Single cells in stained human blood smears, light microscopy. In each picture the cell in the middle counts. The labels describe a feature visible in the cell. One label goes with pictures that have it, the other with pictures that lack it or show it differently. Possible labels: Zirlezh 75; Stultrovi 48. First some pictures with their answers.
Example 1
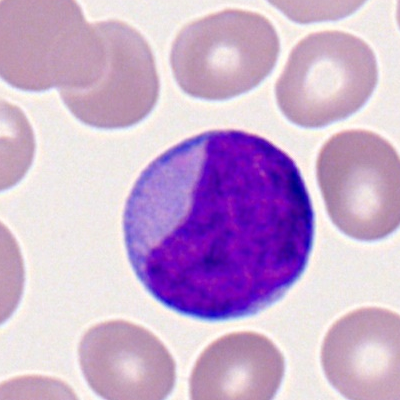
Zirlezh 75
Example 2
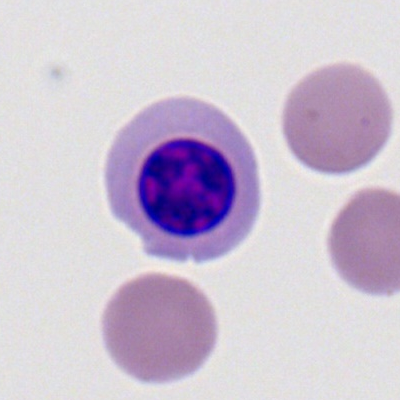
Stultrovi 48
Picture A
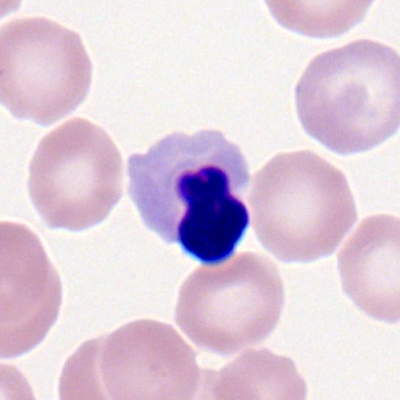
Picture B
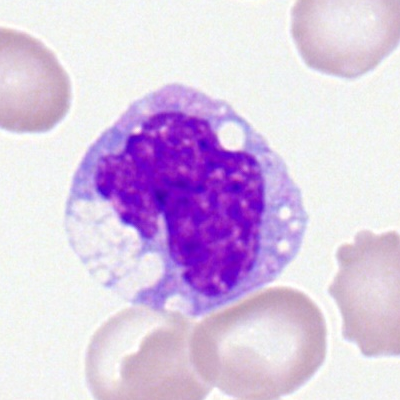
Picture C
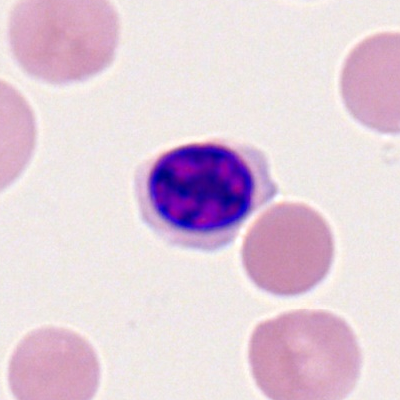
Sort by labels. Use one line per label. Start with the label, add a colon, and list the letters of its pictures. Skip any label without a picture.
Zirlezh 75: C
Stultrovi 48: A, B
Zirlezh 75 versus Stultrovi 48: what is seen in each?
Zirlezh 75, scant cytoplasm; Stultrovi 48, abundant cytoplasm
